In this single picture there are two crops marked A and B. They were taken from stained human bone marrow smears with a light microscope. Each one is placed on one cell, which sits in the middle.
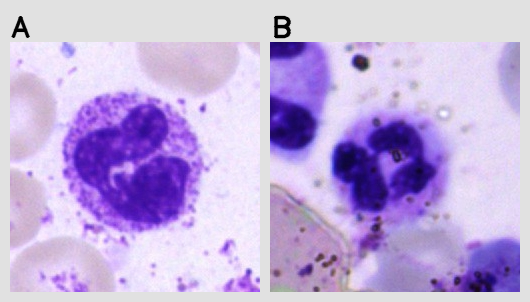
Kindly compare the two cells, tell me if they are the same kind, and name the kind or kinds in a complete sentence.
Yes, these two crops both show segmented neutrophils.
